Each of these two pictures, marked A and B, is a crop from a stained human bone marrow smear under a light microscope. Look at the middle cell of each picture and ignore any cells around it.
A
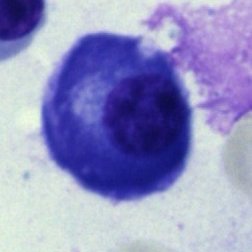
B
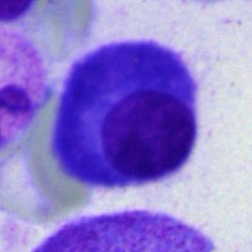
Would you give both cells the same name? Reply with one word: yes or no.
yes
